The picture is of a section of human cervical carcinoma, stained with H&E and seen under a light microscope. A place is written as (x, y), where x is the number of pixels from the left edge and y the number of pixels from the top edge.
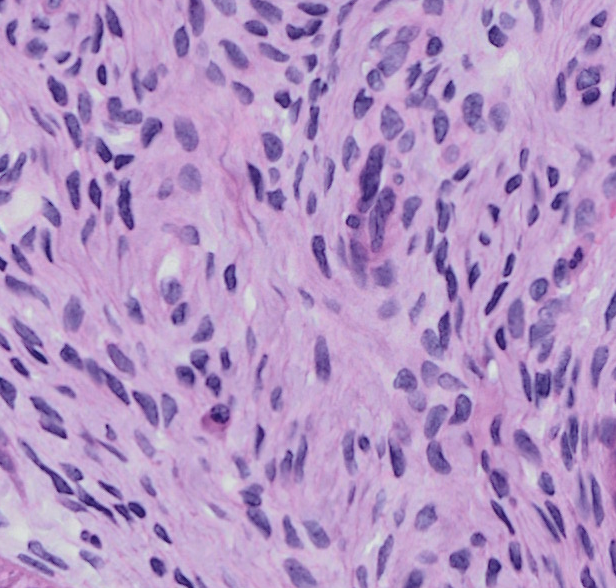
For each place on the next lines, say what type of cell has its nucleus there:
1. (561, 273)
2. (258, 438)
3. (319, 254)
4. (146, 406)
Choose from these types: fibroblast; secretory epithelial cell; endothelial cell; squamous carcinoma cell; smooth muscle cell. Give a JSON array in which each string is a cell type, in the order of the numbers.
["endothelial cell", "fibroblast", "fibroblast", "fibroblast"]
